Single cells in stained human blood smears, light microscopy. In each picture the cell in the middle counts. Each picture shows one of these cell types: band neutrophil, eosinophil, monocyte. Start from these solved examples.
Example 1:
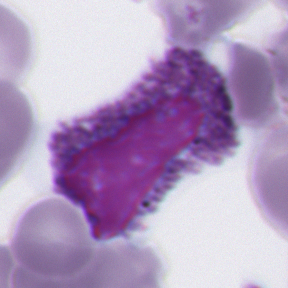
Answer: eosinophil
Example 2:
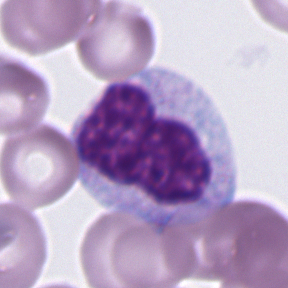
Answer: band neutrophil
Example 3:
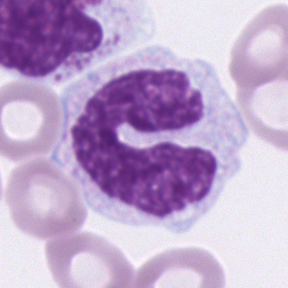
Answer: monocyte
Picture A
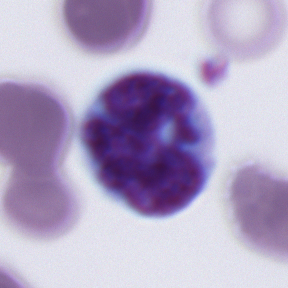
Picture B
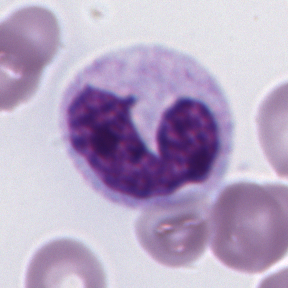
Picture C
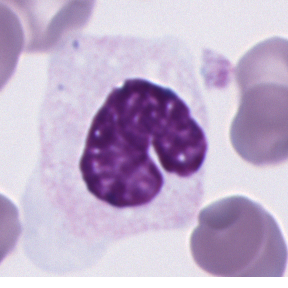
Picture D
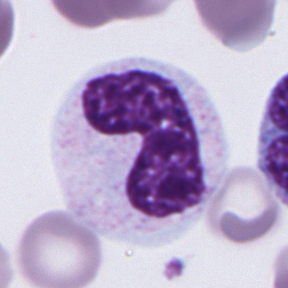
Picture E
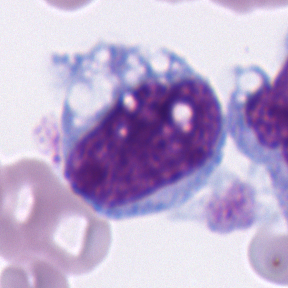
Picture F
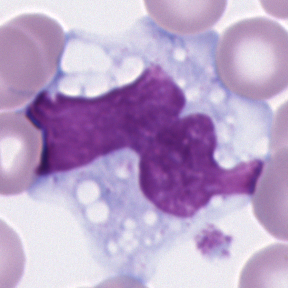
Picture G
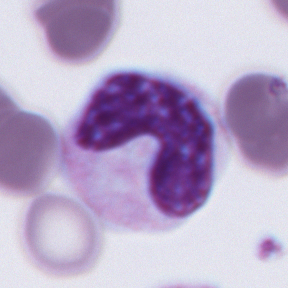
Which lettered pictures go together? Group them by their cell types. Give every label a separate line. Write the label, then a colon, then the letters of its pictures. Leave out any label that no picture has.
band neutrophil: B, C, D, G
monocyte: A, E, F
